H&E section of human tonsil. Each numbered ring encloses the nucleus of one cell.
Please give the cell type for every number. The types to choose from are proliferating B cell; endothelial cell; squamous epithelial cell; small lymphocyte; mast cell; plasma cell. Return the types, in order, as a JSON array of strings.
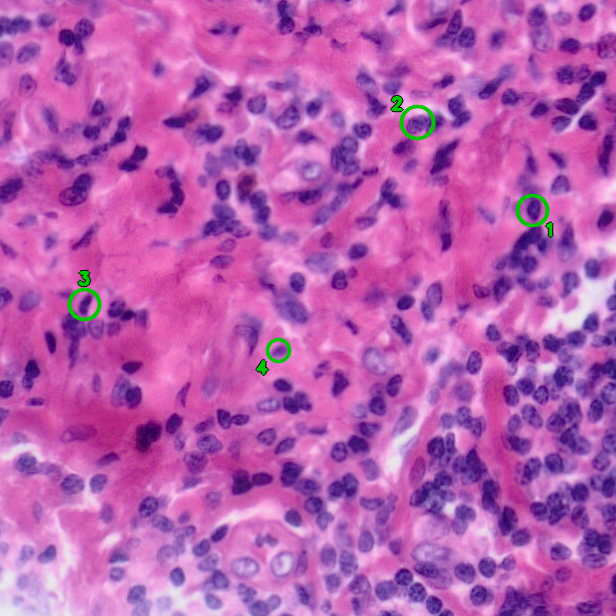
["plasma cell", "mast cell", "mast cell", "mast cell"]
